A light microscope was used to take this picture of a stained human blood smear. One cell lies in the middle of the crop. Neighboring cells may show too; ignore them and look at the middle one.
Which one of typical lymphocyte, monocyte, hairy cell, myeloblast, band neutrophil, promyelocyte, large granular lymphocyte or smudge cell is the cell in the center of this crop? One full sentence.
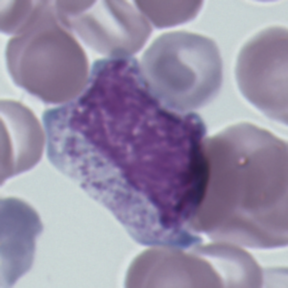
Centred in the crop is a promyelocyte.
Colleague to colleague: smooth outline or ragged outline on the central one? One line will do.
Irregular and not smooth, the cell boundary is ragged or drawn out into projections.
